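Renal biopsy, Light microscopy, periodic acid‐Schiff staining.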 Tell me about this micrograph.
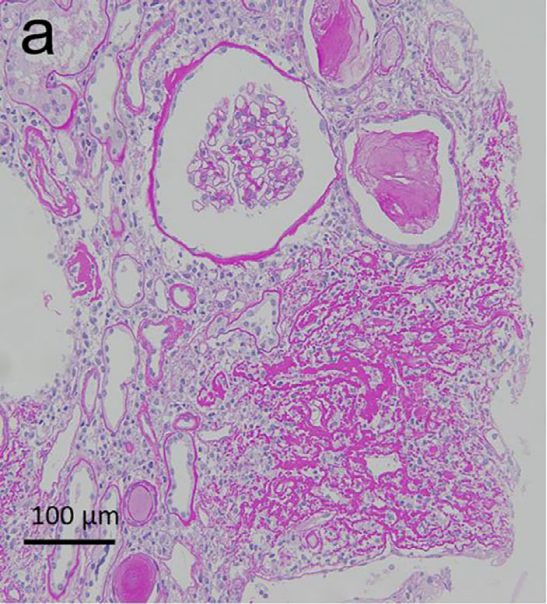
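This is kidney cortex with a glomerulus inside its capsule at the top, surrounded by tubules. Several tubules hold glassy pink casts, while the glomerulus itself looks comparatively spared.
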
